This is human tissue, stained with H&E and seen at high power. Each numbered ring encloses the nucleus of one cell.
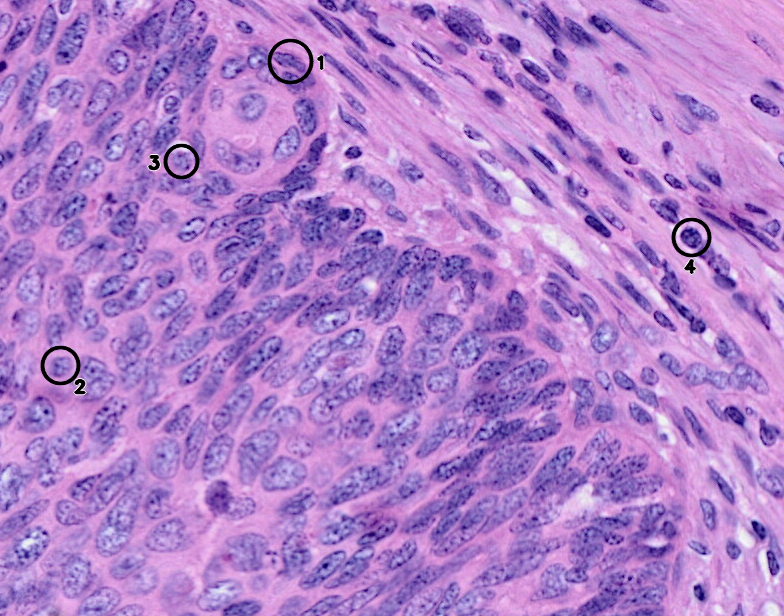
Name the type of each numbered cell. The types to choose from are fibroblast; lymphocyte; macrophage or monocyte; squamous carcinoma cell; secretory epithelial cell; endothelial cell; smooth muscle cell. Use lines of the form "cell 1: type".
cell 1: squamous carcinoma cell
cell 2: squamous carcinoma cell
cell 3: squamous carcinoma cell
cell 4: lymphocyte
